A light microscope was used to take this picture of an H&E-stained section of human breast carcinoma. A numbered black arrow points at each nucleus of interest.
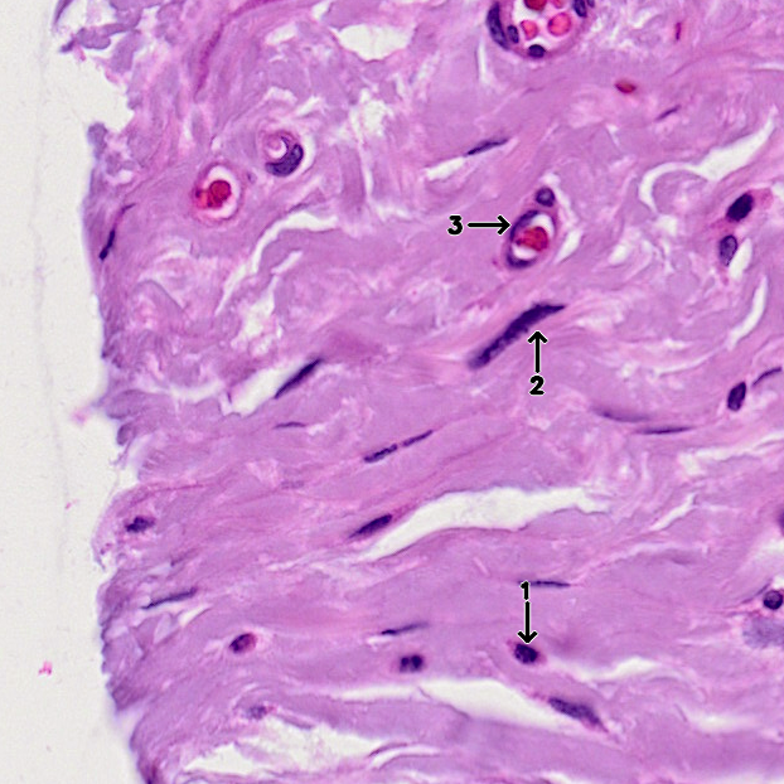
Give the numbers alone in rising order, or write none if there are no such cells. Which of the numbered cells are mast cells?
1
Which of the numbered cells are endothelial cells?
3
